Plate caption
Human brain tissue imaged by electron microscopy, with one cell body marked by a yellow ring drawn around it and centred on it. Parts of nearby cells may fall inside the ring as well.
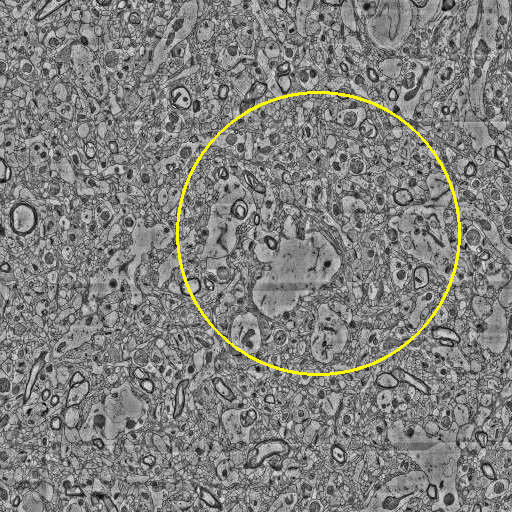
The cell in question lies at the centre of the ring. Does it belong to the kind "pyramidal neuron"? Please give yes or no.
No, it belongs to another kind.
